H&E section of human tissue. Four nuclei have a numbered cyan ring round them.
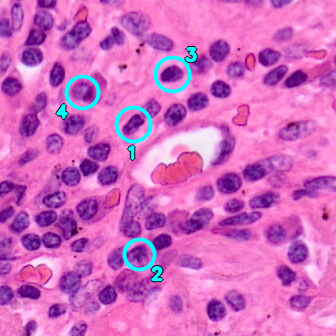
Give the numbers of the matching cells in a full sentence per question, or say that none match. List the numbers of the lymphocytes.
On this slide, the cells numbered 1, 2 and 3 are lymphocytes.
